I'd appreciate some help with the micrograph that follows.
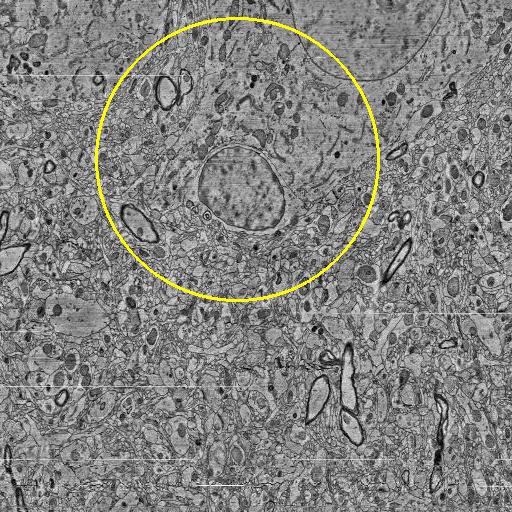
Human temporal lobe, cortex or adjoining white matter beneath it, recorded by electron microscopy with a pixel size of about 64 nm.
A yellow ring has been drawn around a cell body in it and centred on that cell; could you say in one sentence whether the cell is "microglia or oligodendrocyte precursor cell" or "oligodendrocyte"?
It is a microglial cell or oligodendrocyte precursor cell at the centre of the ring.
